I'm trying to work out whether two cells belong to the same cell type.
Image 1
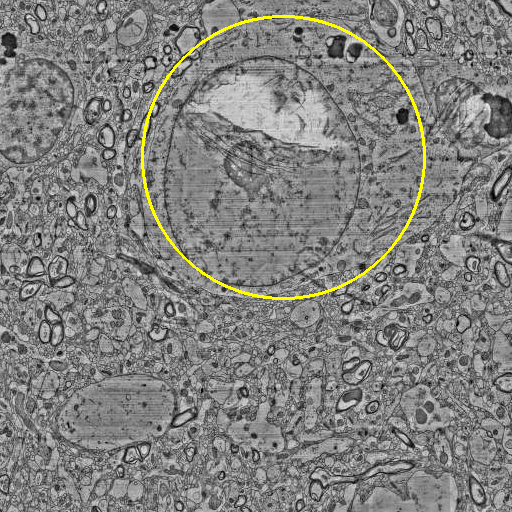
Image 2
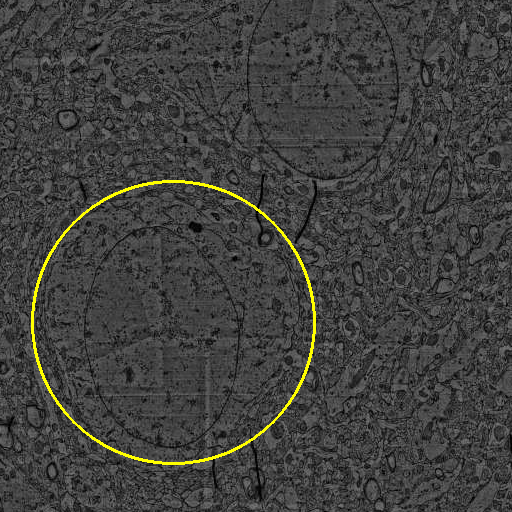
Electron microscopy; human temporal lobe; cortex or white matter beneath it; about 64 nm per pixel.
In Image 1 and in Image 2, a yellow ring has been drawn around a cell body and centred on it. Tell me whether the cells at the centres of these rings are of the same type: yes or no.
yes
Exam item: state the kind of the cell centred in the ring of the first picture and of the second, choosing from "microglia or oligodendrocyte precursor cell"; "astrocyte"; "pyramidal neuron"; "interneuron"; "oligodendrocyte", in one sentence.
Each of the ringed cells, first and second, is a pyramidal neuron.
